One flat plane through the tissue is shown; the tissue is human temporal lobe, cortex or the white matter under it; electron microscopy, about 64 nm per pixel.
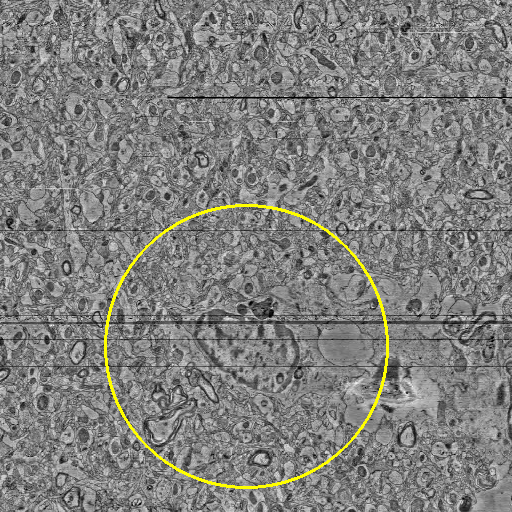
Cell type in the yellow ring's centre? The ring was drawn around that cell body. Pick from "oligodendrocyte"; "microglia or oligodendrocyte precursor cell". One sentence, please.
The ringed cell body is that of a microglial cell or oligodendrocyte precursor cell.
